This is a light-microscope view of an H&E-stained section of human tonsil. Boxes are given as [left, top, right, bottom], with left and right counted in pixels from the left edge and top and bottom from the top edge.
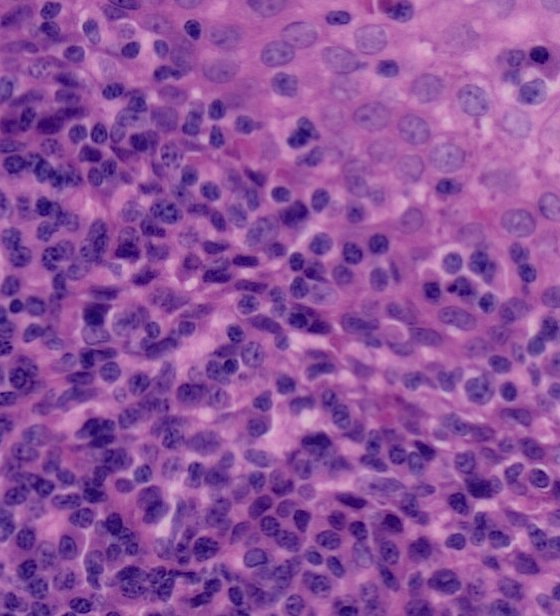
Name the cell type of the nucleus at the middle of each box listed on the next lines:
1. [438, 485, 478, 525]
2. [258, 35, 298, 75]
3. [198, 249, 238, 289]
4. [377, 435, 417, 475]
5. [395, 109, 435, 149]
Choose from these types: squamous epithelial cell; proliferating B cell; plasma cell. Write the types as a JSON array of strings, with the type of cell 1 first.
["plasma cell", "squamous epithelial cell", "squamous epithelial cell", "plasma cell", "squamous epithelial cell"]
